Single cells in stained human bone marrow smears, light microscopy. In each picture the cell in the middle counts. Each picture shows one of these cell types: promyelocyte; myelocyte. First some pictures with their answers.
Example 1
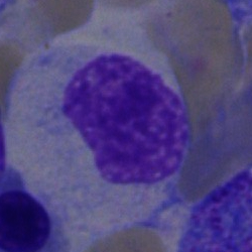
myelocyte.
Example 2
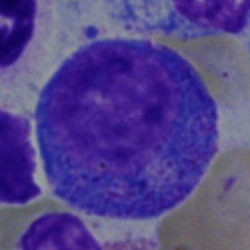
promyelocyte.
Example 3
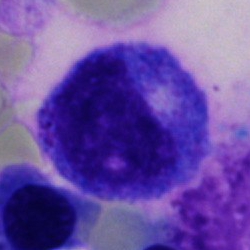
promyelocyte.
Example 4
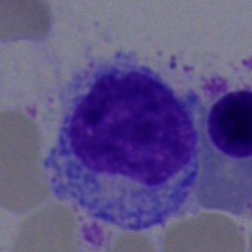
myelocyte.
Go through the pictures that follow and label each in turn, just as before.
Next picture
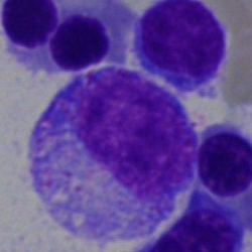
promyelocyte.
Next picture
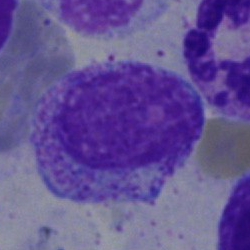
myelocyte.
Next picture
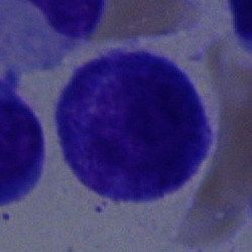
promyelocyte.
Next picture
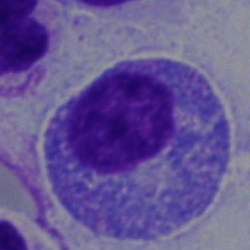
promyelocyte.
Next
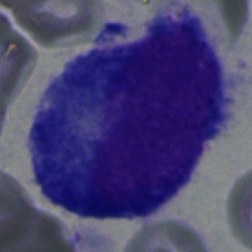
promyelocyte.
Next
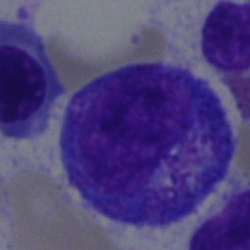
promyelocyte.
